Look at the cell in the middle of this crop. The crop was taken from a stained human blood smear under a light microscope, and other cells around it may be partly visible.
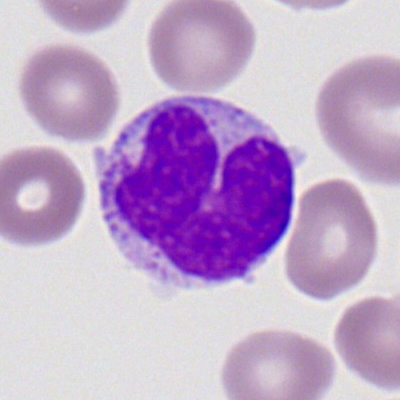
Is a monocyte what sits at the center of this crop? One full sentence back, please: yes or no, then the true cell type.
Yes, the cell at the middle is a monocyte.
